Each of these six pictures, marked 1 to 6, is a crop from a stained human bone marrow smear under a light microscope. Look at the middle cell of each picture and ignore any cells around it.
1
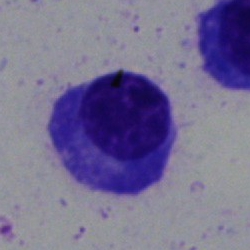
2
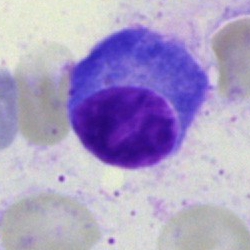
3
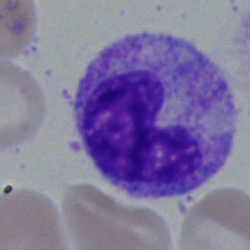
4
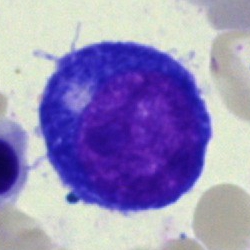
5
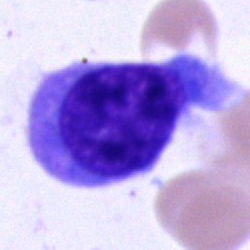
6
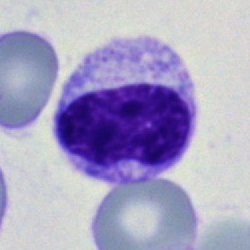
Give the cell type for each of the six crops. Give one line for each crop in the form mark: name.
1: plasma cell
2: plasma cell
3: metamyelocyte
4: proerythroblast
5: promyelocyte
6: metamyelocyte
